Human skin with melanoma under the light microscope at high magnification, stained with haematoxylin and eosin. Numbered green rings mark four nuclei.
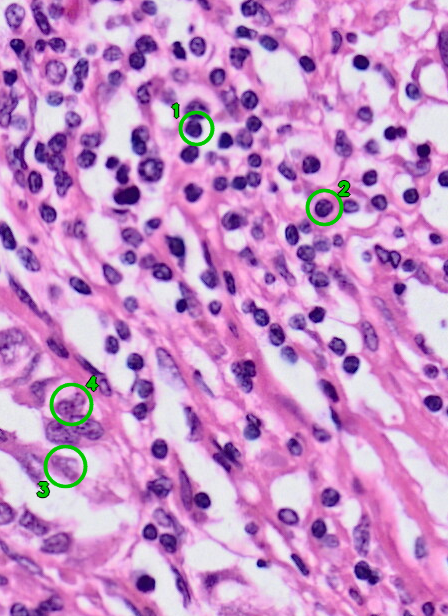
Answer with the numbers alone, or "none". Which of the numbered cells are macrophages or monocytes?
none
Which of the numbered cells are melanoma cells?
3, 4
